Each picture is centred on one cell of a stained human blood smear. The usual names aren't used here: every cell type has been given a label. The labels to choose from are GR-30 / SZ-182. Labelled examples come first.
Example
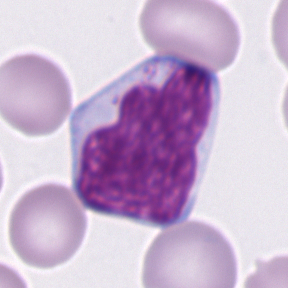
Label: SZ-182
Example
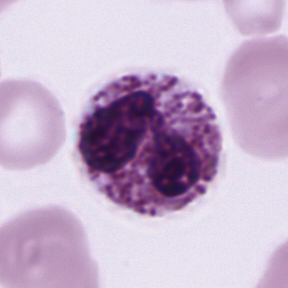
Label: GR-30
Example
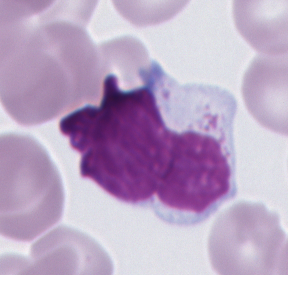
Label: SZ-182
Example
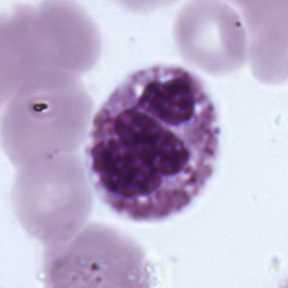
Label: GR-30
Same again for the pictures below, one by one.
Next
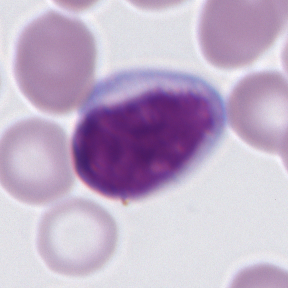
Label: SZ-182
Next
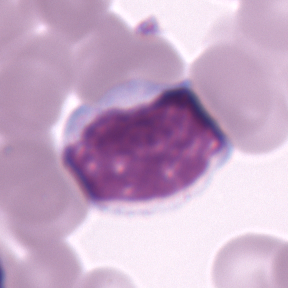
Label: SZ-182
